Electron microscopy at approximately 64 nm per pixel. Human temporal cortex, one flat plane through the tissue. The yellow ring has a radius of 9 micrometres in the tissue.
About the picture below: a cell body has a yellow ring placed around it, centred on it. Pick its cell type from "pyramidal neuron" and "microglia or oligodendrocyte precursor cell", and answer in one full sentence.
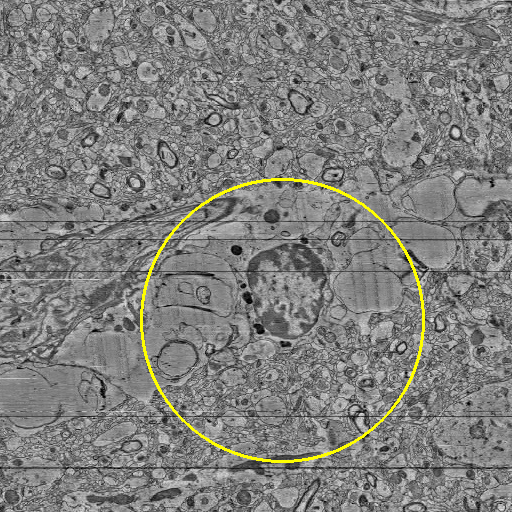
In the picture, a microglial cell or oligodendrocyte precursor cell is the cell sitting at the centre of the yellow ring.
